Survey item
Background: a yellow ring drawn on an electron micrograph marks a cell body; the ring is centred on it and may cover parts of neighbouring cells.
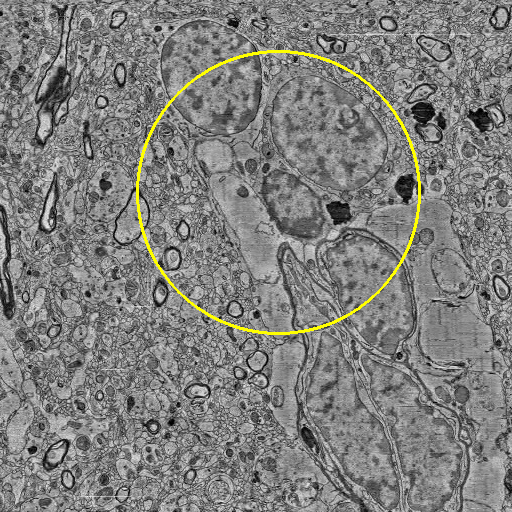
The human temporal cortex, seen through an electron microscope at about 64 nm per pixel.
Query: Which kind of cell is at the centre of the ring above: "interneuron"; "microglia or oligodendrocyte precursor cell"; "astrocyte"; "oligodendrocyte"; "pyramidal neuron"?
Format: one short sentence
The cell in the middle of the ring is an oligodendrocyte.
